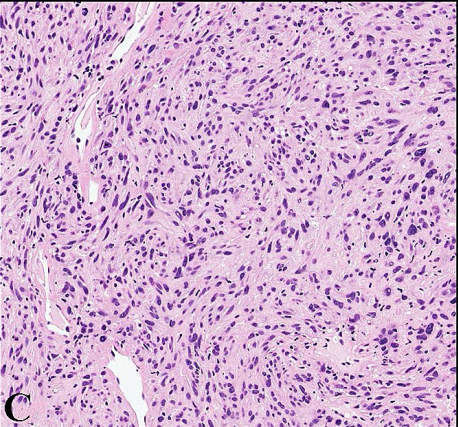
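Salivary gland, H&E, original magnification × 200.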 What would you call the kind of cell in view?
Spindle cells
